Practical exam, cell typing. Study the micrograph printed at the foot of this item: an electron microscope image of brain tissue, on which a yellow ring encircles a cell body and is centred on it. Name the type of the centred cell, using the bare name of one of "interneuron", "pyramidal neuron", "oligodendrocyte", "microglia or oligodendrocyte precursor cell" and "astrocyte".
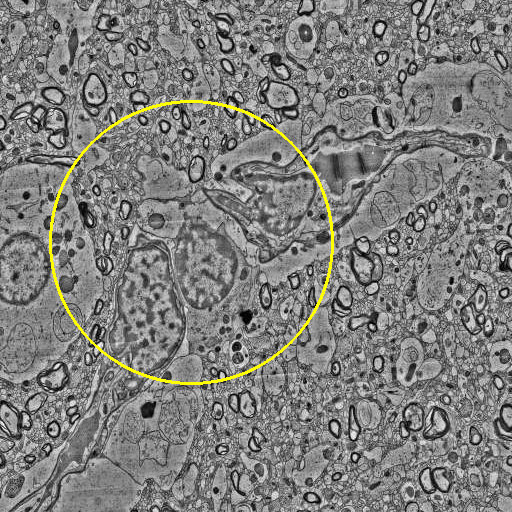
oligodendrocyte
